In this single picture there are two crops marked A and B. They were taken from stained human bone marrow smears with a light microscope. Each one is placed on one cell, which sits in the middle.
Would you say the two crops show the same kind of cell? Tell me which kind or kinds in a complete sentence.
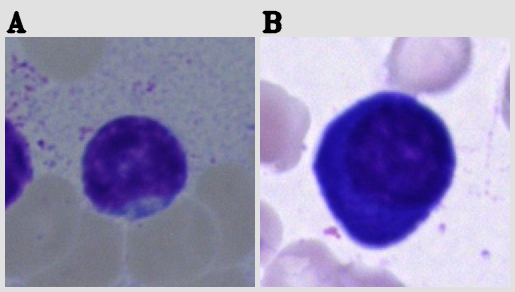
No, crop A is where a lymphocyte is, and crop B is where a plasma cell is.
